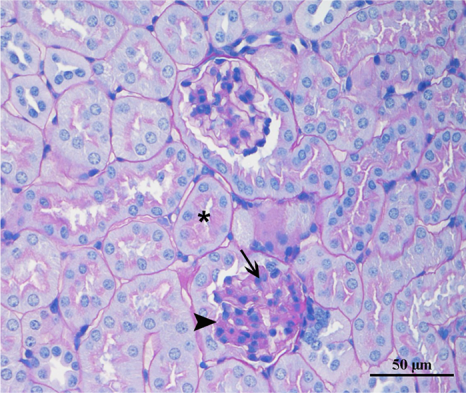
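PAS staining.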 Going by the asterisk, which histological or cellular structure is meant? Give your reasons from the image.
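Proximal tubule. The asterisk lies in a tubule lined by cuboidal cells with round nuclei. The cells have pale granular pink cytoplasm.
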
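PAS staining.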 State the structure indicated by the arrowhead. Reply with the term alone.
Mesangial matrix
